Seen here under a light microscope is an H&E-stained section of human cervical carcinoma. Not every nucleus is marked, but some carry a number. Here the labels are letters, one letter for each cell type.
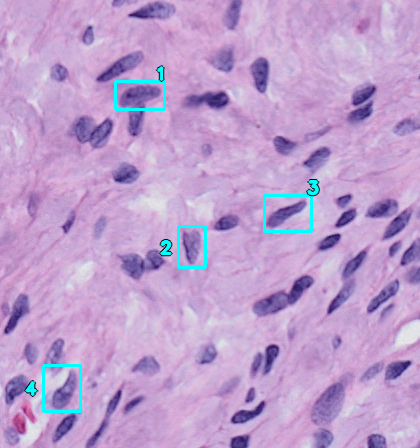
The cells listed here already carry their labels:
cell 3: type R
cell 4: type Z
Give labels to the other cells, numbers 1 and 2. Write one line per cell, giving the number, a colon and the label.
1: type R
2: type R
